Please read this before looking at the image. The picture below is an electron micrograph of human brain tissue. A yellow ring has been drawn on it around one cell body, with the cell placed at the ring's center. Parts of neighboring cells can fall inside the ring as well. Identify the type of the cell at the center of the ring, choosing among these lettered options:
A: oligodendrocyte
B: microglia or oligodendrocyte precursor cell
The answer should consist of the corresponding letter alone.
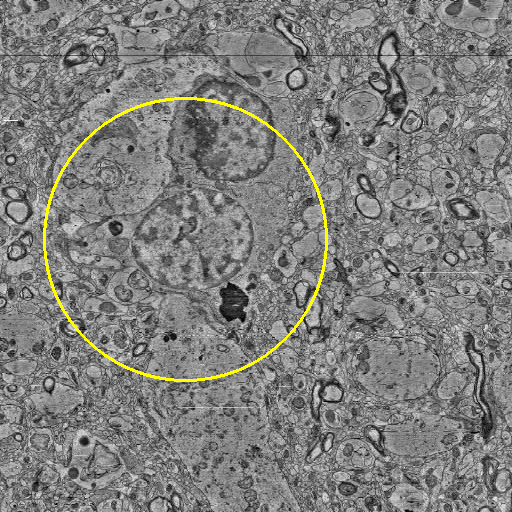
A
